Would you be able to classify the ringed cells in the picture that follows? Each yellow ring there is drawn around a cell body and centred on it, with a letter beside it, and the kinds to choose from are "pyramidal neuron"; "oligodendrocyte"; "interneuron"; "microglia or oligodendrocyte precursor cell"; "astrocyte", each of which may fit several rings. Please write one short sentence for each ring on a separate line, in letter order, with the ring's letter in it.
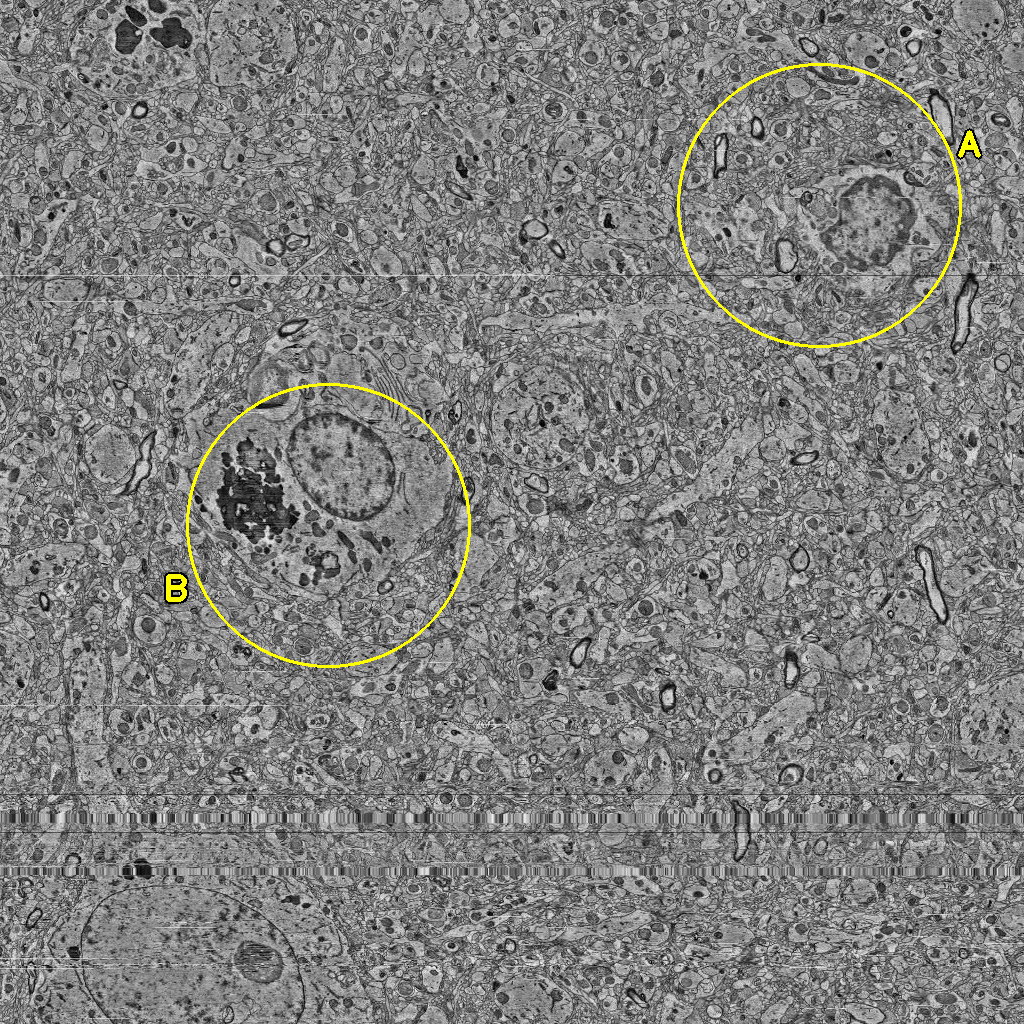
The cell body at the centre of ring A belongs to a microglial cell or oligodendrocyte precursor cell.
The cell body at the centre of ring B belongs to an astrocyte.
